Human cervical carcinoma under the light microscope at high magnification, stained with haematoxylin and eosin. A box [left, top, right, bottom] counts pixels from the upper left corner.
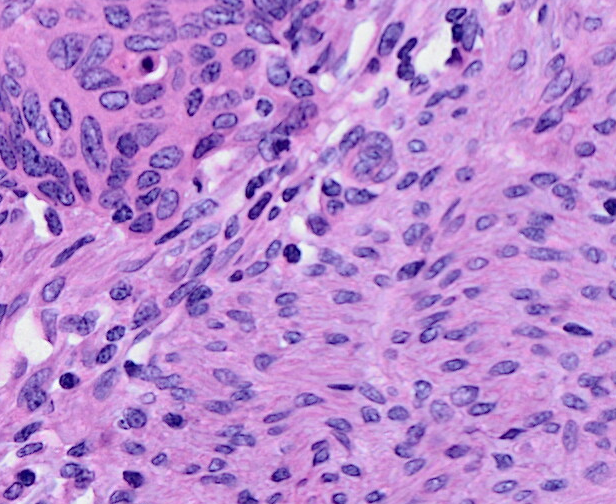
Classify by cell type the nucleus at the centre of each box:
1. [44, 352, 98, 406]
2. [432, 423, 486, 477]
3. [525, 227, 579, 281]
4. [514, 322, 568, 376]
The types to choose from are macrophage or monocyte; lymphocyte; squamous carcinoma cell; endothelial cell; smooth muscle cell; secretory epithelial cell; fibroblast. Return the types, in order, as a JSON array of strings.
["lymphocyte", "smooth muscle cell", "smooth muscle cell", "smooth muscle cell"]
